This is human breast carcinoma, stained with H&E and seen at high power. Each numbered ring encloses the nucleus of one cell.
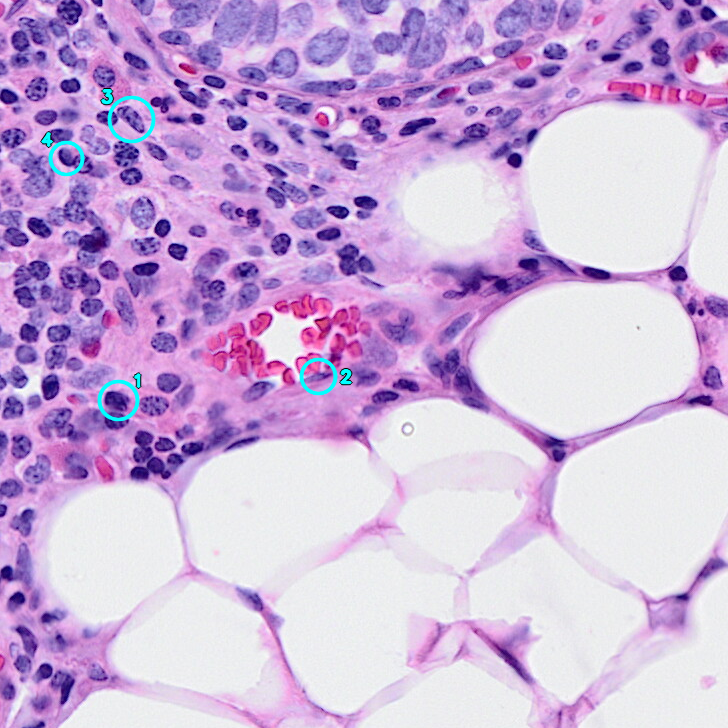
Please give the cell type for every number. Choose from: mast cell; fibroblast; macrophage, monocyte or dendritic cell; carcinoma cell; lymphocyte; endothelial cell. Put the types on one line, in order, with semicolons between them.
lymphocyte; endothelial cell; lymphocyte; lymphocyte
